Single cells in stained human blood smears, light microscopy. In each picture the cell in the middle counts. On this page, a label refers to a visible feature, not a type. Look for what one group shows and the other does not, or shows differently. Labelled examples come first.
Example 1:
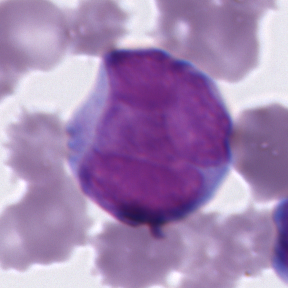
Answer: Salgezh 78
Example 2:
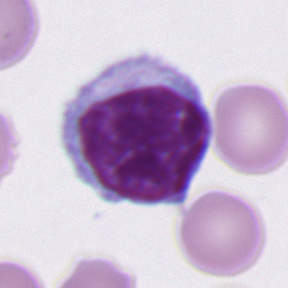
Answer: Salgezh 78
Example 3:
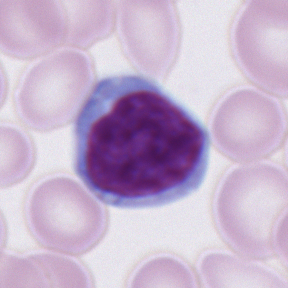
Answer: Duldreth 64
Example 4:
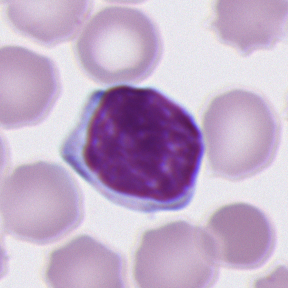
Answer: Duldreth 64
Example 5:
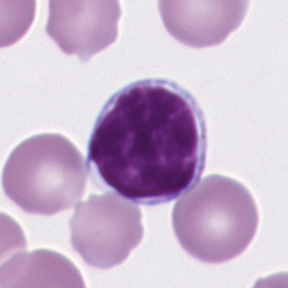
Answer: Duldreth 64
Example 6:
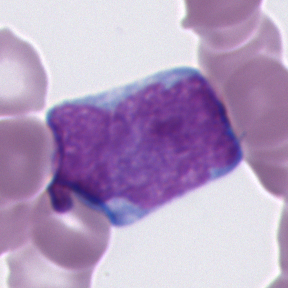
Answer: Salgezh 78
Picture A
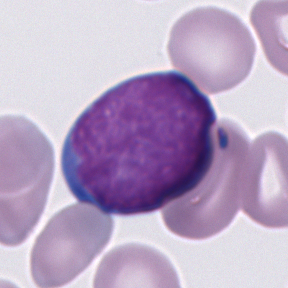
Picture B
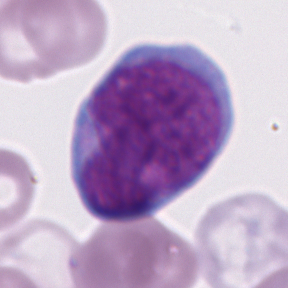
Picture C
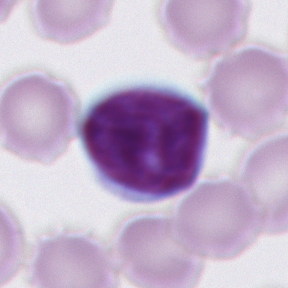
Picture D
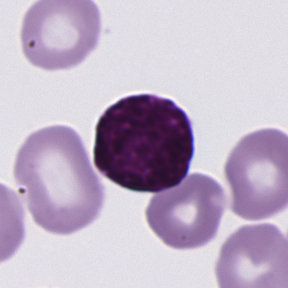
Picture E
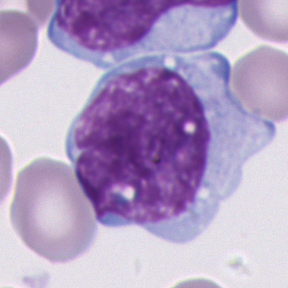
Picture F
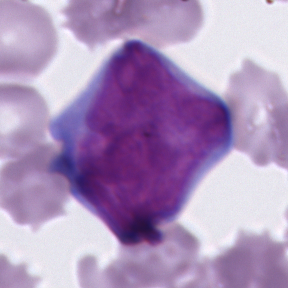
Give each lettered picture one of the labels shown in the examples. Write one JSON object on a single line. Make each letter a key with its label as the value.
{"A": "Duldreth 64", "B": "Duldreth 64", "C": "Duldreth 64", "D": "Duldreth 64", "E": "Salgezh 78", "F": "Salgezh 78"}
